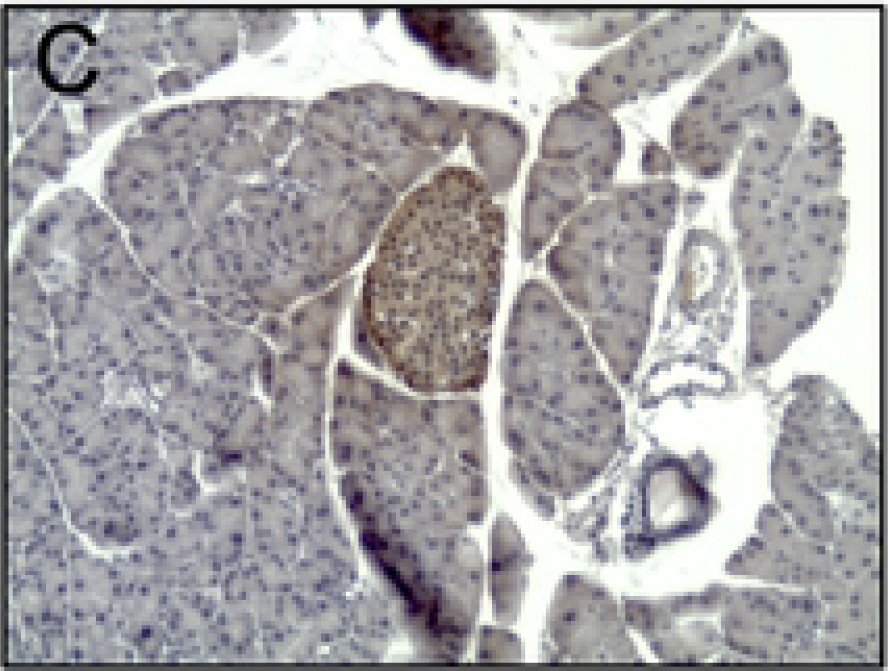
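Lobules of densely packed acinar tissue with small blue nuclei are separated by clear spaces, with a few ducts lined by a thin epithelium in between. In the middle lies one compact oval cluster of smaller, paler cells tinted brown, an islet set apart from the surrounding exocrine pancreas.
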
